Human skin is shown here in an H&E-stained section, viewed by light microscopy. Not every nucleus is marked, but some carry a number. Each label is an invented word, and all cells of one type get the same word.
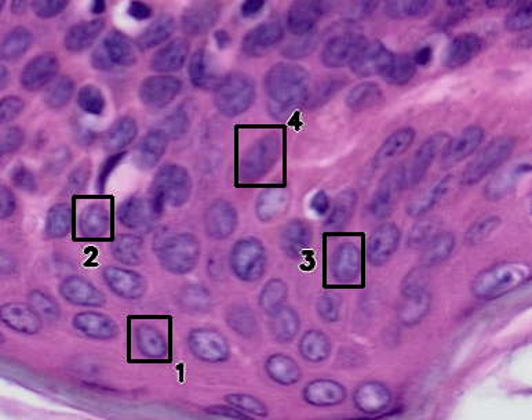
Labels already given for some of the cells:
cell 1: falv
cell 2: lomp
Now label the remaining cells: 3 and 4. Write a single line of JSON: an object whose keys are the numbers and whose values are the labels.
{"3": "falv", "4": "lomp"}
